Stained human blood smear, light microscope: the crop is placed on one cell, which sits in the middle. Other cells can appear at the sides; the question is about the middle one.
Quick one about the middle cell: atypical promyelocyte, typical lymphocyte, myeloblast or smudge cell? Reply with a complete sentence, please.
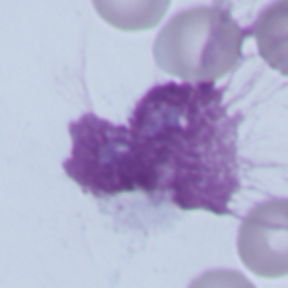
At the crop's centre, the cell is a smudge cell.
